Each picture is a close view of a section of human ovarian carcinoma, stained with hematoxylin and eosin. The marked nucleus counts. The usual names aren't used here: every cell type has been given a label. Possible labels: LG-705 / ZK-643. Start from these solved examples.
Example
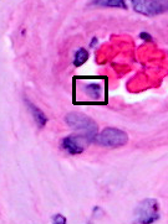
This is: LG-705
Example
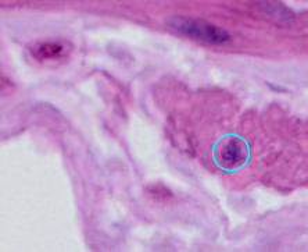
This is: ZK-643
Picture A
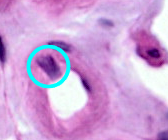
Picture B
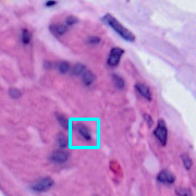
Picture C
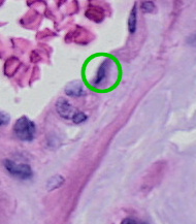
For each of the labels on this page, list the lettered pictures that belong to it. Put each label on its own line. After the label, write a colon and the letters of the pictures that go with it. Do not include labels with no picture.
LG-705: A, C
ZK-643: B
